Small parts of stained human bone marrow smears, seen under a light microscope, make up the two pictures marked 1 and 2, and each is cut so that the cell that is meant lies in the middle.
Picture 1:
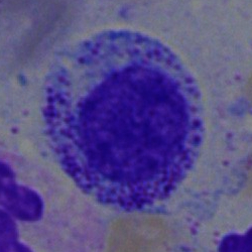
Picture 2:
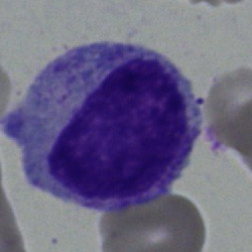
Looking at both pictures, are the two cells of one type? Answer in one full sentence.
No; the cell in picture 1 is a myelocyte, while the one in picture 2 is a promyelocyte.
